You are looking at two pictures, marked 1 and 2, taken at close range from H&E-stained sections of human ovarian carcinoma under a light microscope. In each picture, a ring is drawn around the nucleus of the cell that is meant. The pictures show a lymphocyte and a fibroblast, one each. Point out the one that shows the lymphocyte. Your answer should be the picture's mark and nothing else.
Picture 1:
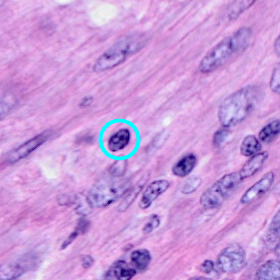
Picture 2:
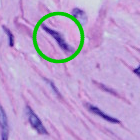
1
